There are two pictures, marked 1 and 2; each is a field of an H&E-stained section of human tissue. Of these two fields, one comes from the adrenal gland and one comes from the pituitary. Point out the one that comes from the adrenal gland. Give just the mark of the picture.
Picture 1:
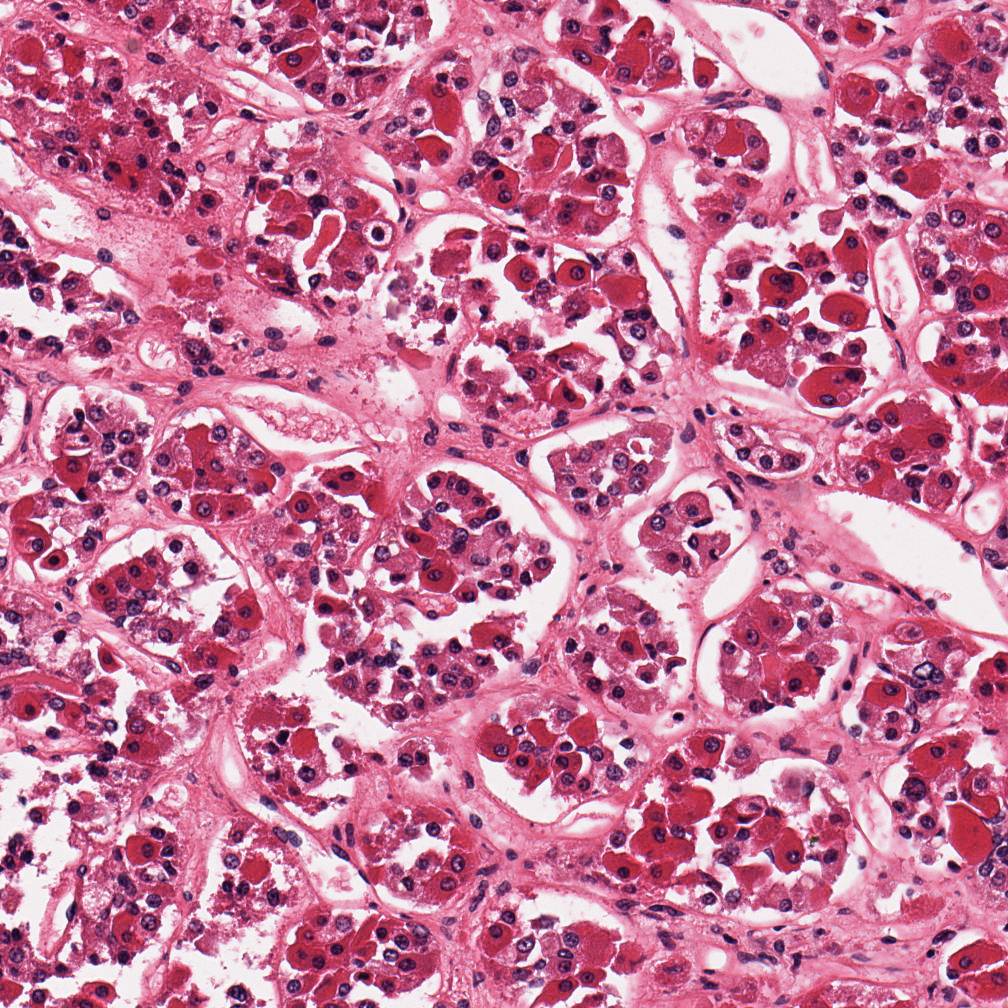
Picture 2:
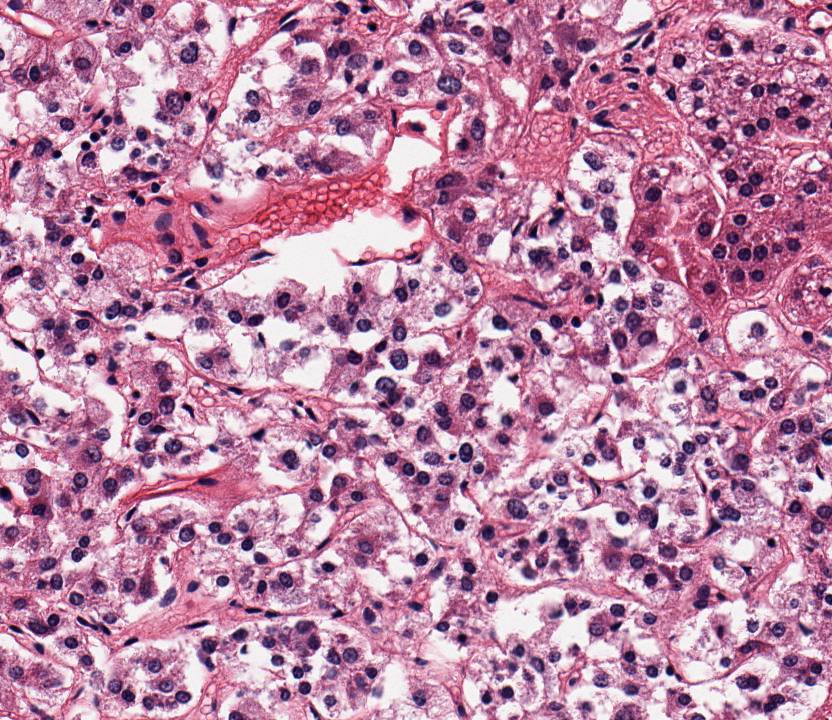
2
